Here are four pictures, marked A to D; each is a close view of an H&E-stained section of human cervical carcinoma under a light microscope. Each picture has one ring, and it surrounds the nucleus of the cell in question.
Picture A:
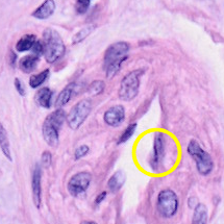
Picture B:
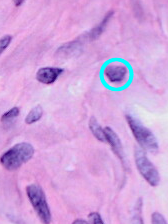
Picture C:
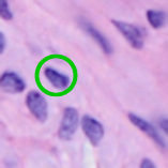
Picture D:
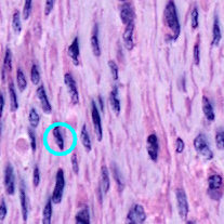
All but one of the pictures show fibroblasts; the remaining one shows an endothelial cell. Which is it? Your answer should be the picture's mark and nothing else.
A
